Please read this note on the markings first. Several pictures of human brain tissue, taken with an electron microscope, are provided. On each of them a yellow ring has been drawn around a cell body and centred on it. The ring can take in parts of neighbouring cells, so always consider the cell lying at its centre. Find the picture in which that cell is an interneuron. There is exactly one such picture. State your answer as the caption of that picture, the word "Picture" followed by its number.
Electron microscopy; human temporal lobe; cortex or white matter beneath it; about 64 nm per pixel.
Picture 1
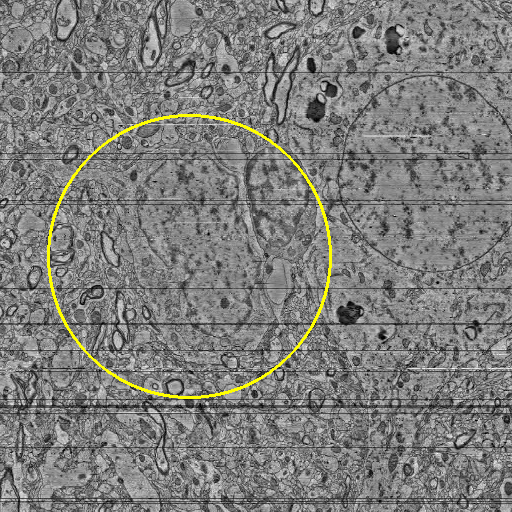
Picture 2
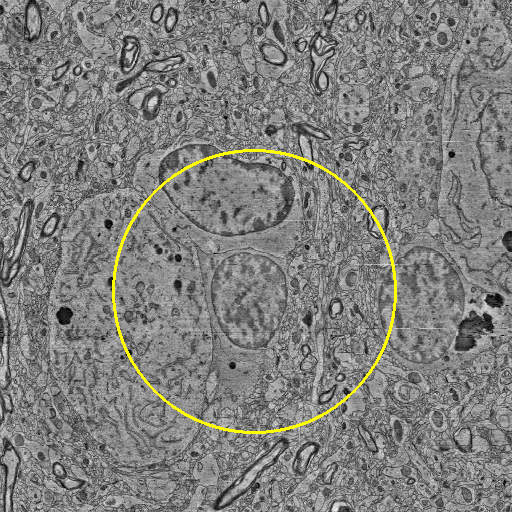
Picture 1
